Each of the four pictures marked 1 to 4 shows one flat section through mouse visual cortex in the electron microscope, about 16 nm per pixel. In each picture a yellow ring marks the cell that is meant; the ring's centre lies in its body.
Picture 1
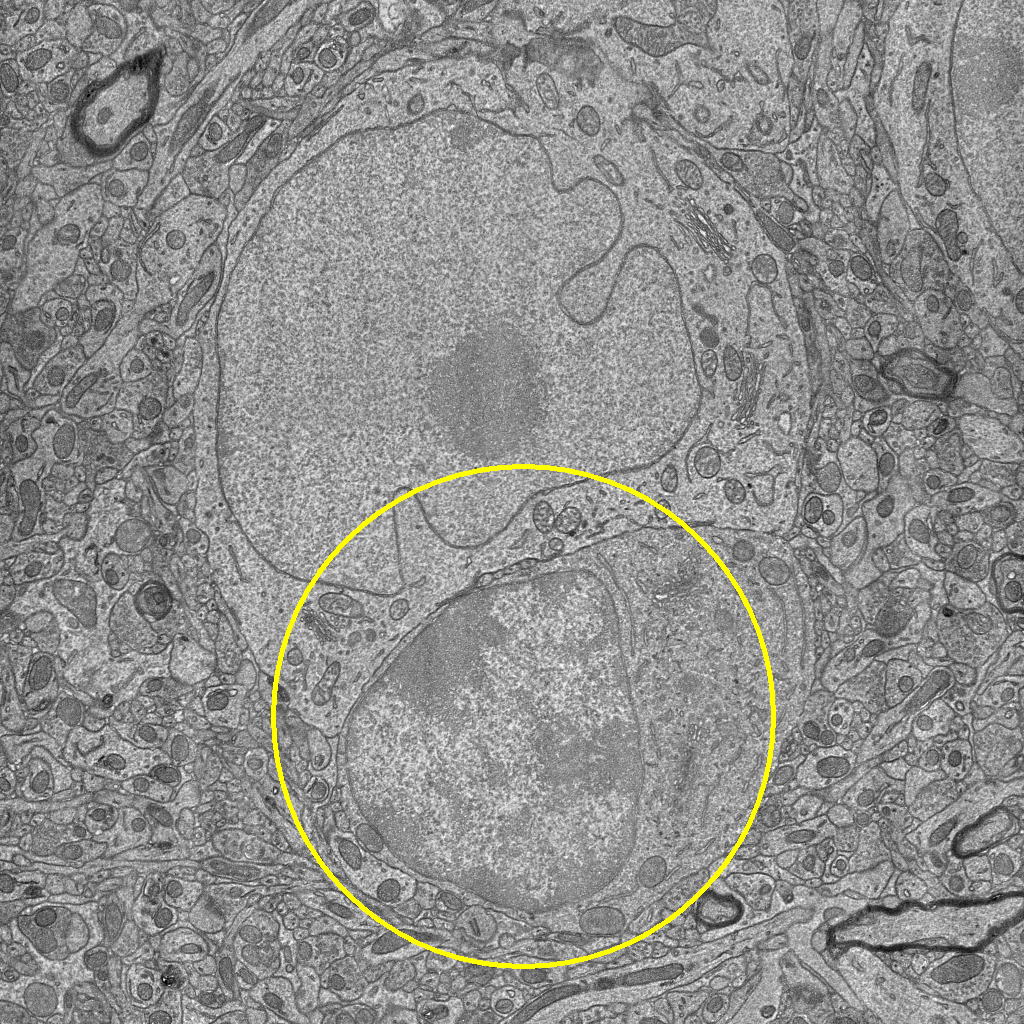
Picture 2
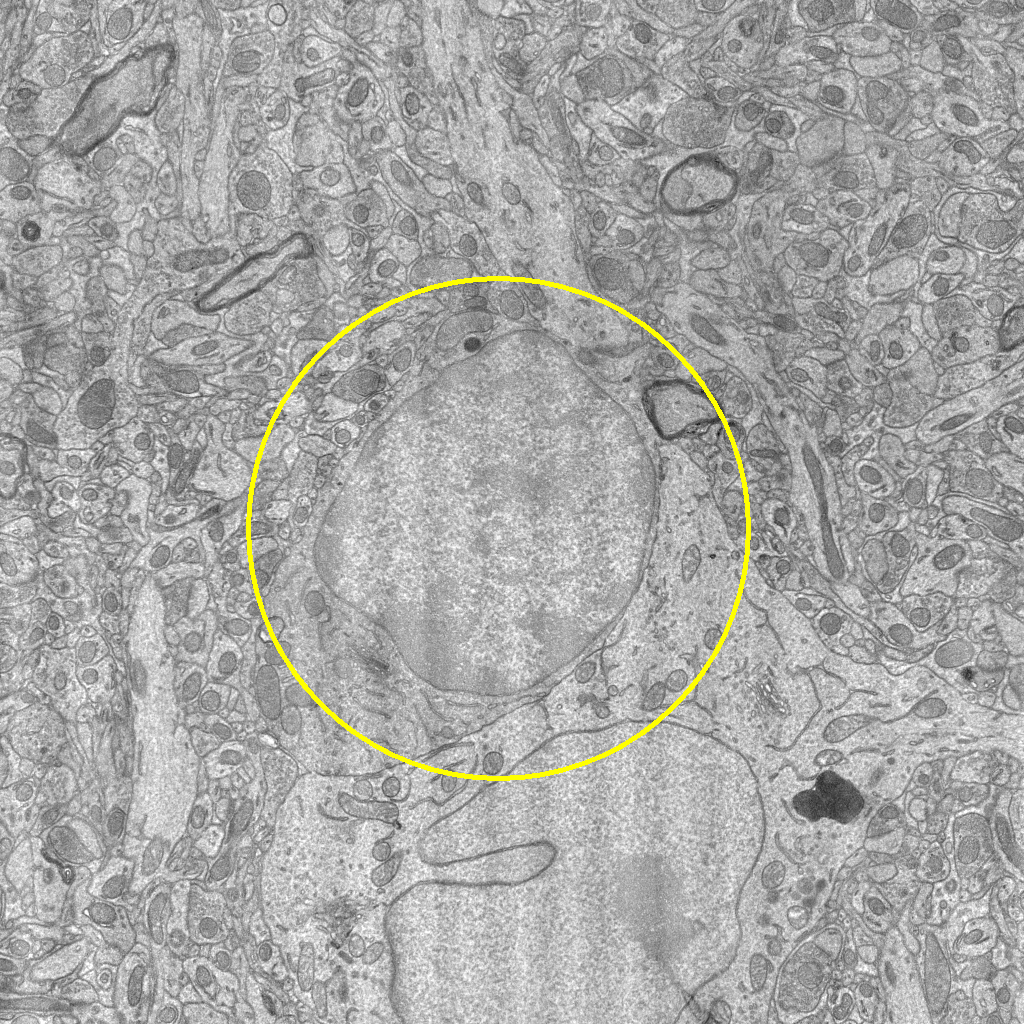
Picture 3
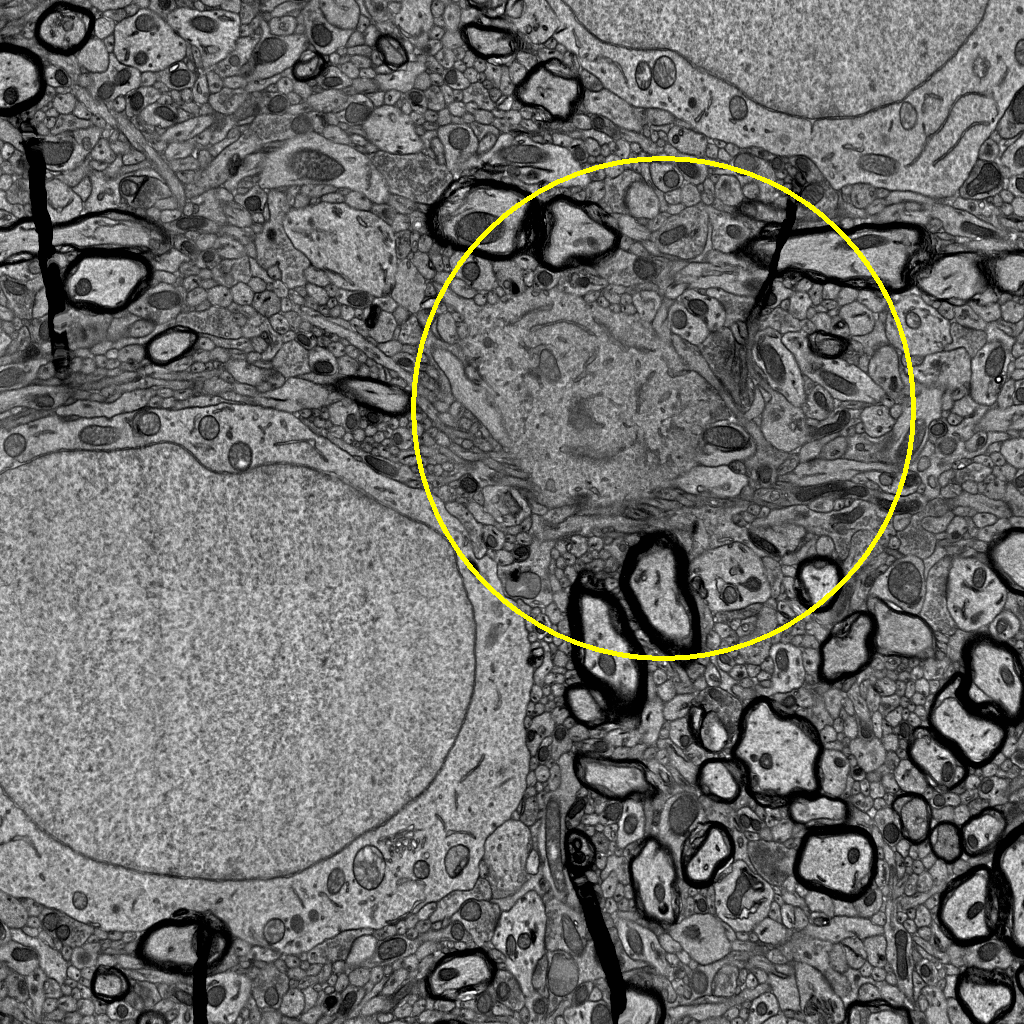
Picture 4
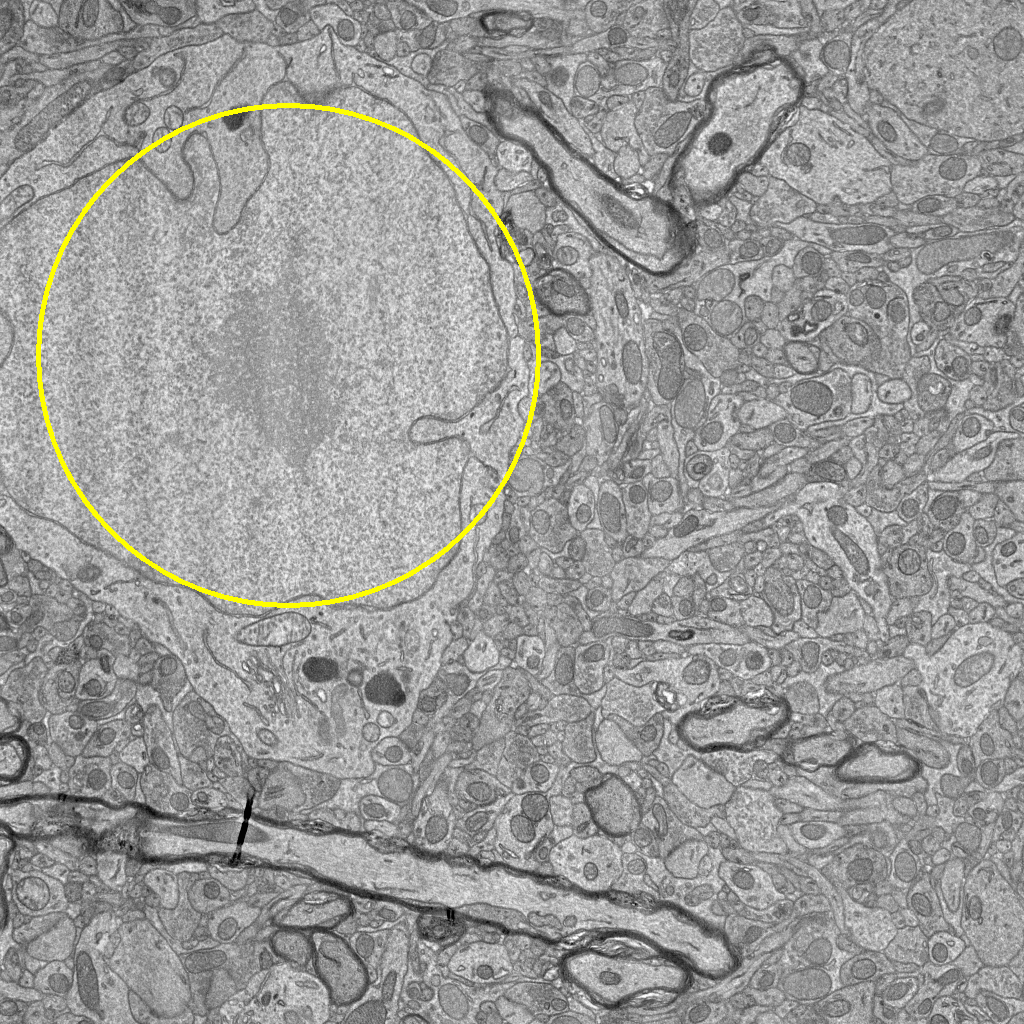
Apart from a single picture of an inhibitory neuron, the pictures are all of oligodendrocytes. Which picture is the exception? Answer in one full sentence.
It is picture 4 that shows the inhibitory neuron.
